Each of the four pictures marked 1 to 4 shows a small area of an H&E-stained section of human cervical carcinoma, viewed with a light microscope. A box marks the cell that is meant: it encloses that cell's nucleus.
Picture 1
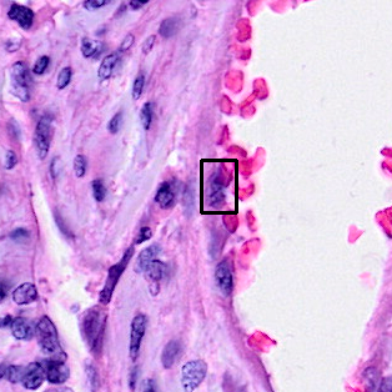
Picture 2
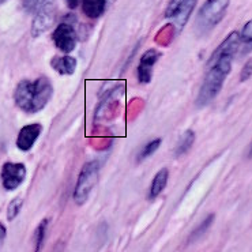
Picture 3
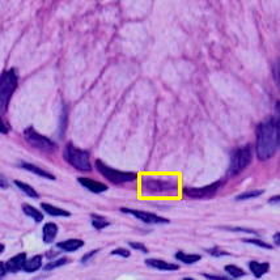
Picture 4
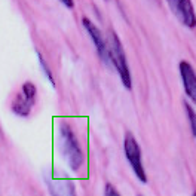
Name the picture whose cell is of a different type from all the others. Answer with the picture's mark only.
3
